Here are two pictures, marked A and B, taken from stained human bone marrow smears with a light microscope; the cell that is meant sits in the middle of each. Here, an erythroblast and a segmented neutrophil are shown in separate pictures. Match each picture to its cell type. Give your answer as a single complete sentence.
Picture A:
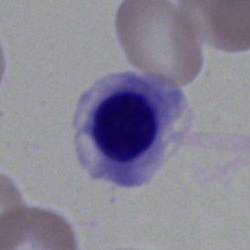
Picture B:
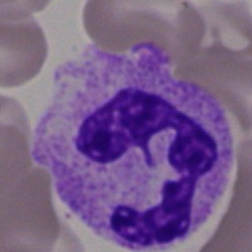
The cell in picture A is an erythroblast, and the one in picture B is a segmented neutrophil.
